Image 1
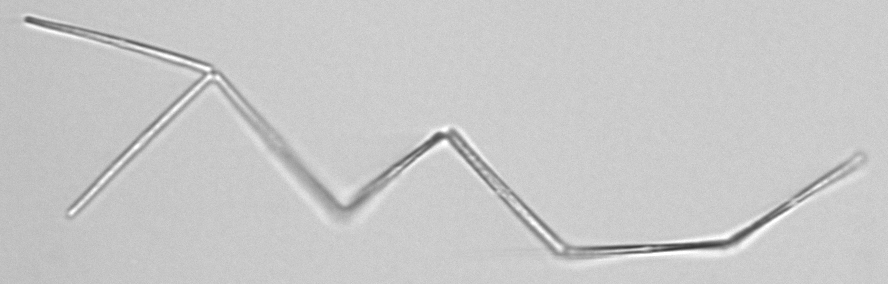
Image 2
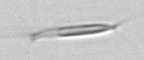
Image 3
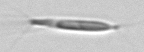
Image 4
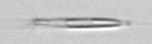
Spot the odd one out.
Picture 1 (Thalassionema among Calciosolenia).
